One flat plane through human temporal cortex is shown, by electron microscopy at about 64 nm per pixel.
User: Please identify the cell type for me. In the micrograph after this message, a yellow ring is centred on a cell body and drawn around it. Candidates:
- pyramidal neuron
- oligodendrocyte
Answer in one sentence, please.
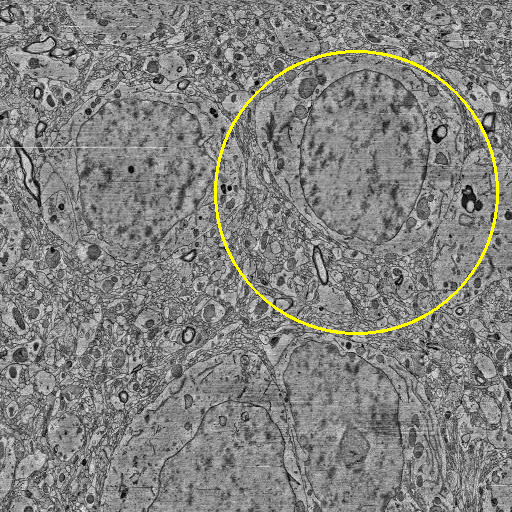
The ring is drawn around the cell body of a pyramidal neuron.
